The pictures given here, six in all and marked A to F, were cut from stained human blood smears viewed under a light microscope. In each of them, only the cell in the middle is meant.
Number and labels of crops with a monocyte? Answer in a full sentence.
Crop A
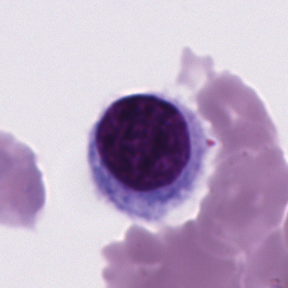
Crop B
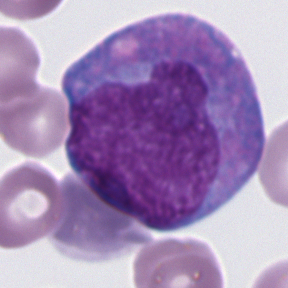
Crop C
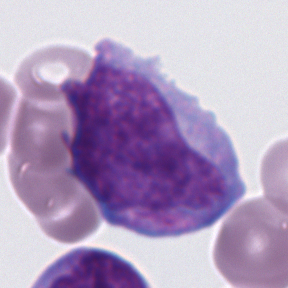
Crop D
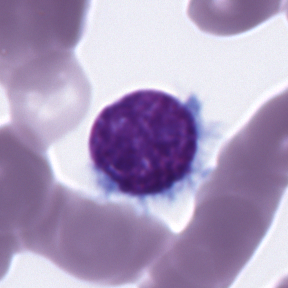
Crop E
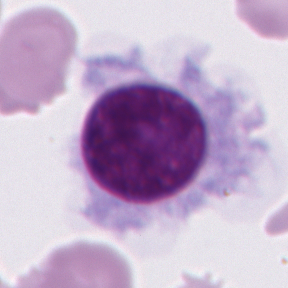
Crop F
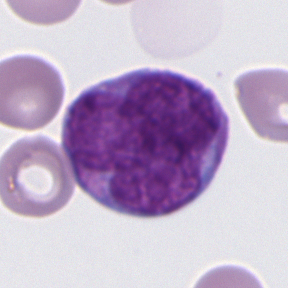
Among the crops, none shows monocytes, and the count is zero.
